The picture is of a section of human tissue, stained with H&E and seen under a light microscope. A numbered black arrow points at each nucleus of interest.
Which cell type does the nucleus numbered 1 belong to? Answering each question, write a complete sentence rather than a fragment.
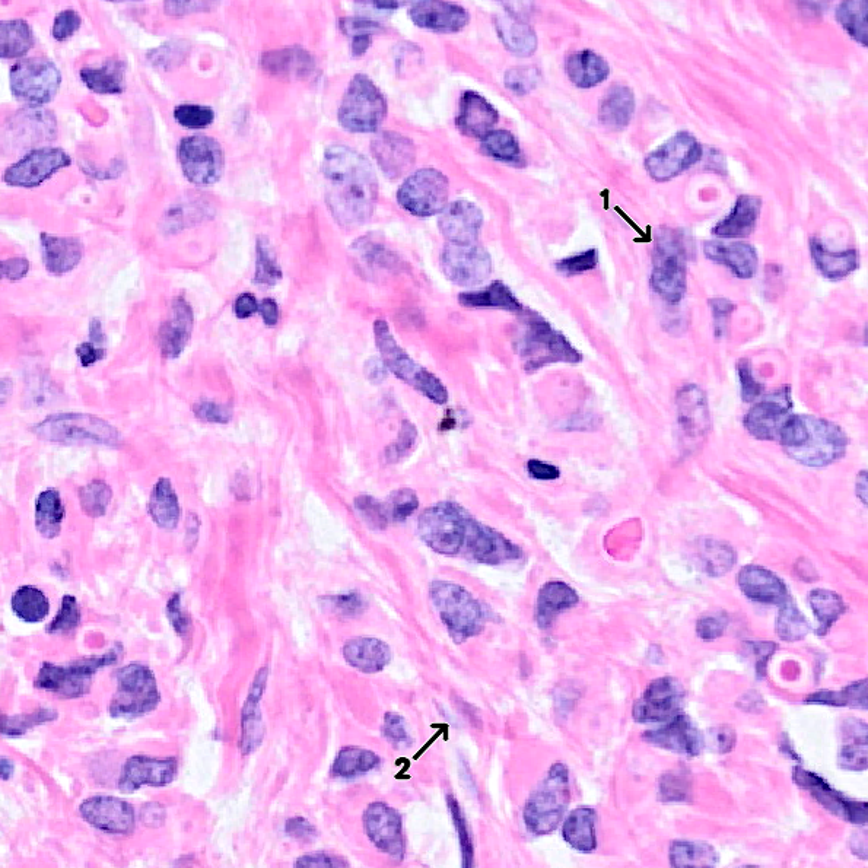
The numbered cell 1 is identified here as an endothelial cell.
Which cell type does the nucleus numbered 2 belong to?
The nucleus labelled 2 belongs to a fibroblast.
